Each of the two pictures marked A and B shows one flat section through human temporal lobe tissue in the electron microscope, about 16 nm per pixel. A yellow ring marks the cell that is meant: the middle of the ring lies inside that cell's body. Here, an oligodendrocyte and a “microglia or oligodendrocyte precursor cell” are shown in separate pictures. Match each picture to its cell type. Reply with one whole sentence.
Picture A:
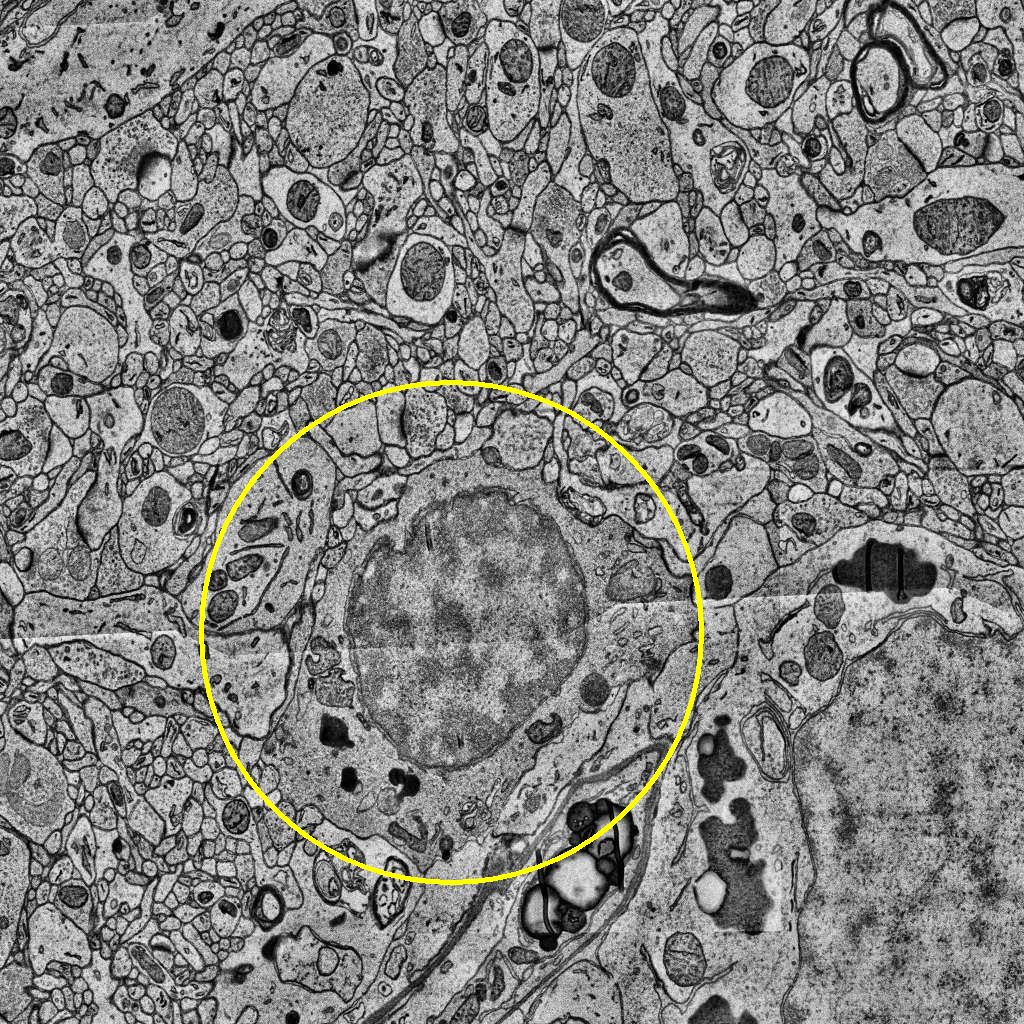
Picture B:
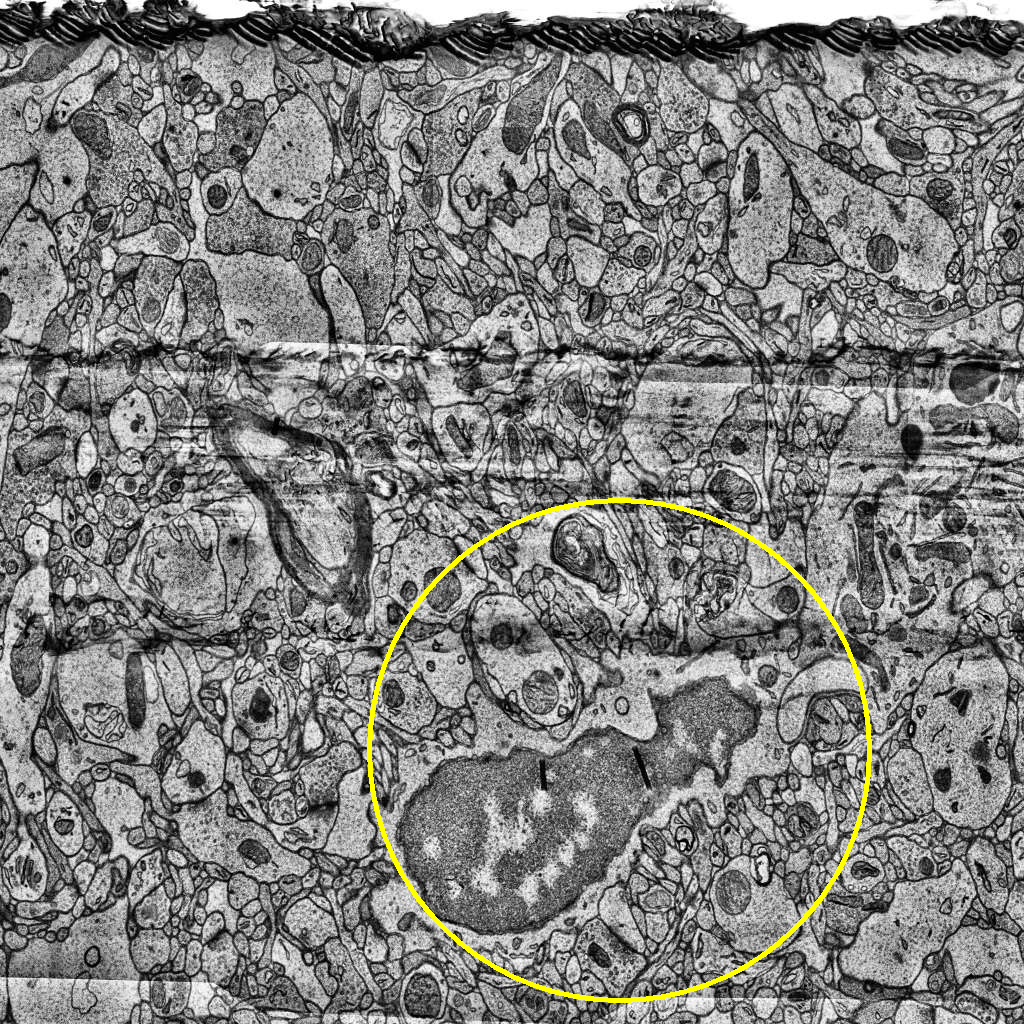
In picture A the cell is an oligodendrocyte; in picture B, a “microglia or oligodendrocyte precursor cell”.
